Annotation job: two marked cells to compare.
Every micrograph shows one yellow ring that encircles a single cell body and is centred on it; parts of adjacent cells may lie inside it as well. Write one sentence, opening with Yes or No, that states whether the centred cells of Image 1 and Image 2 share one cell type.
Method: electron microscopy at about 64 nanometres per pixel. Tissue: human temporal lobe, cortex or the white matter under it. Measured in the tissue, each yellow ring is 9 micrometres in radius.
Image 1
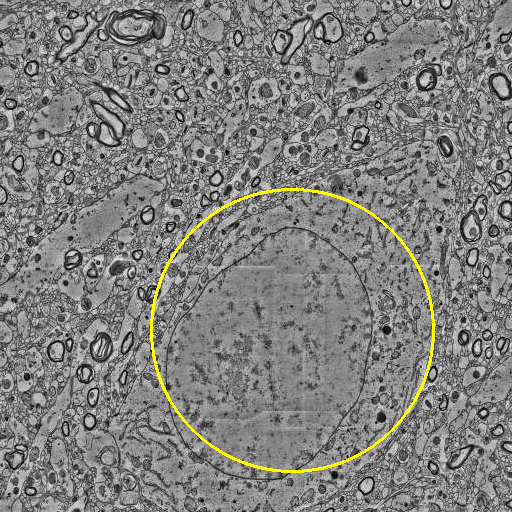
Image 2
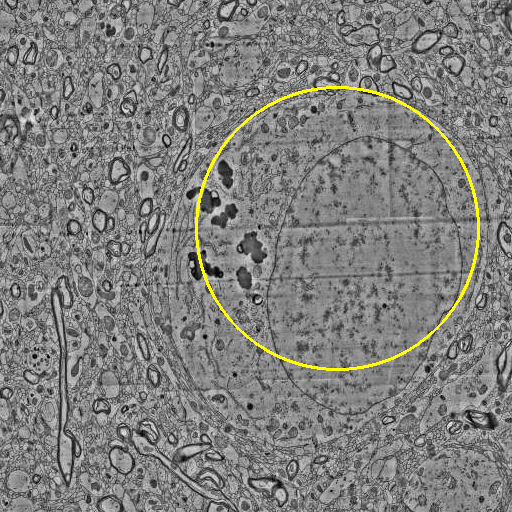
Yes, the cell centred in Image 1 shares its type with the cell centred in Image 2.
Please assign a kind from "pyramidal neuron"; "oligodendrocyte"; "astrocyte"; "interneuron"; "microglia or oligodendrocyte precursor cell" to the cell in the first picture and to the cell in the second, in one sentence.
In both pictures the ring is centred on a pyramidal neuron.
